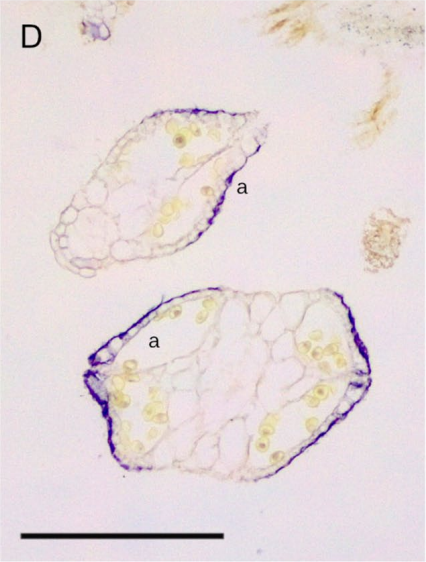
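Two cross-sections of mature anthers are shown, each bounded by an outer layer of epidermal cells. Inside, large thin-walled cells and chambers contain numerous rounded yellowish grains, which are unstained. The inner tissues show no purple-blue colour.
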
